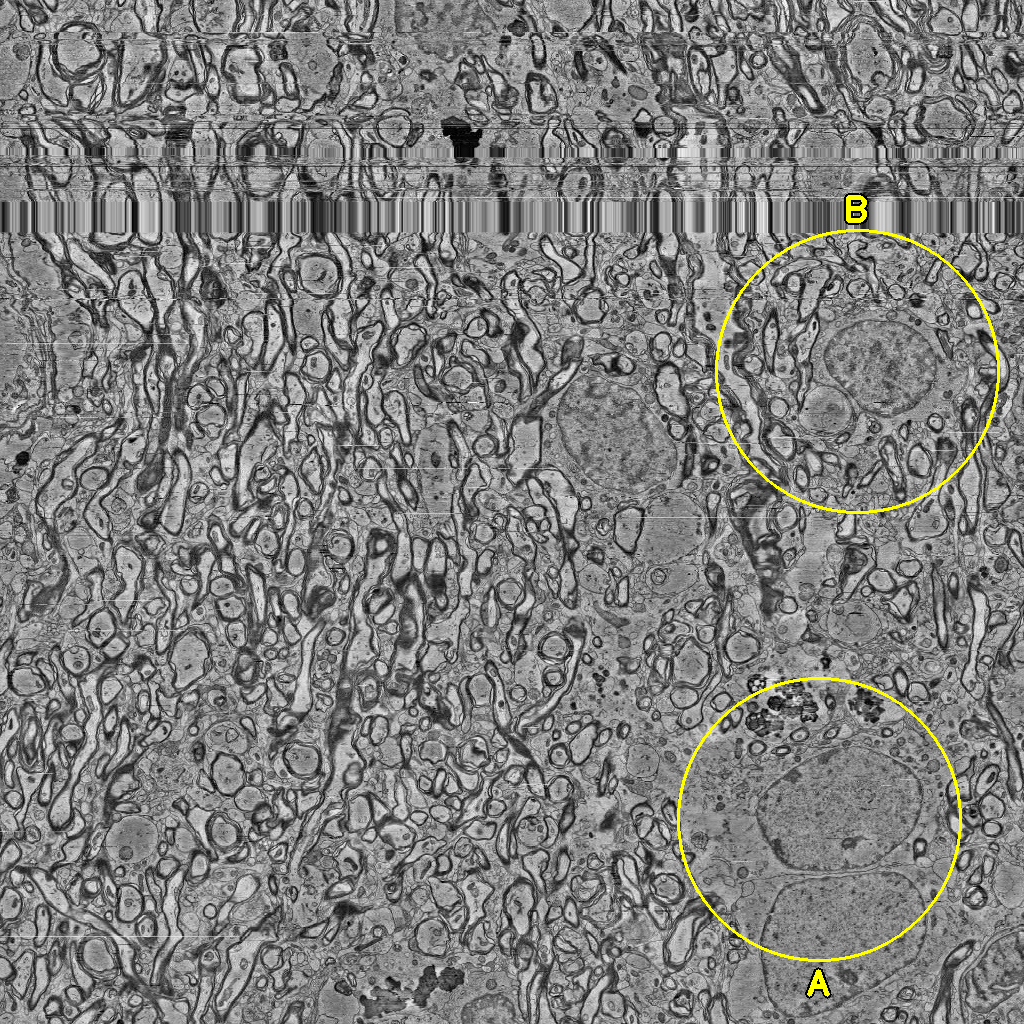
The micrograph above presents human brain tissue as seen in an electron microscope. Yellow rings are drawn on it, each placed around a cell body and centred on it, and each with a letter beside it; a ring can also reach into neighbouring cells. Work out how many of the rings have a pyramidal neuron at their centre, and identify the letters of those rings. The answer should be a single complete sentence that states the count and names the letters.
Zero, then, is the count, as no ring is centred on a pyramidal neuron.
